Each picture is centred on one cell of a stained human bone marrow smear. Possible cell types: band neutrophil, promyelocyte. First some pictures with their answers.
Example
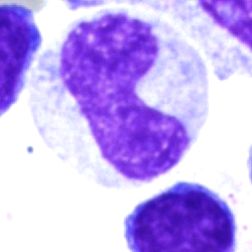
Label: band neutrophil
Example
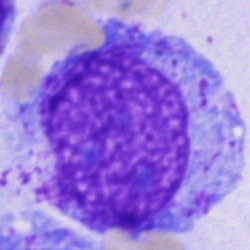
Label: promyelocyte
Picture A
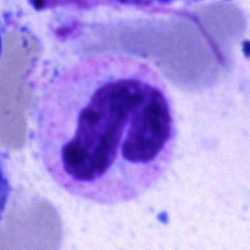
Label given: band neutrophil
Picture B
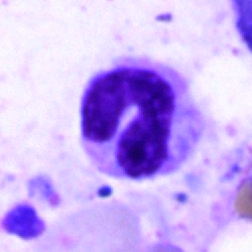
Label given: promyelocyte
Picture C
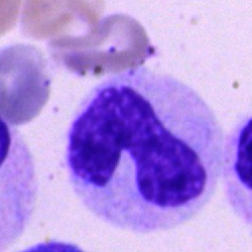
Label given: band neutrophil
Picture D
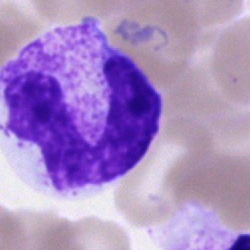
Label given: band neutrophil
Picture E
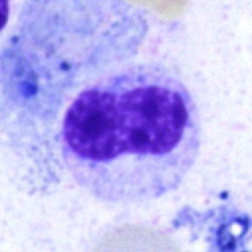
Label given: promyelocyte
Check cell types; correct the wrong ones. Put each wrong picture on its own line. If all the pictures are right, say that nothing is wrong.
B: not promyelocyte but band neutrophil
E: not promyelocyte but band neutrophil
